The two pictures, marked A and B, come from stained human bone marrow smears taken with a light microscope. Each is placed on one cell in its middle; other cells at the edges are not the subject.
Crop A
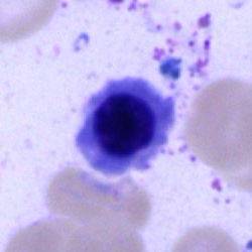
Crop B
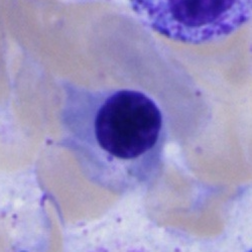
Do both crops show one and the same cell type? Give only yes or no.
yes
